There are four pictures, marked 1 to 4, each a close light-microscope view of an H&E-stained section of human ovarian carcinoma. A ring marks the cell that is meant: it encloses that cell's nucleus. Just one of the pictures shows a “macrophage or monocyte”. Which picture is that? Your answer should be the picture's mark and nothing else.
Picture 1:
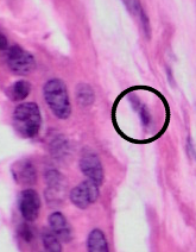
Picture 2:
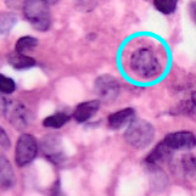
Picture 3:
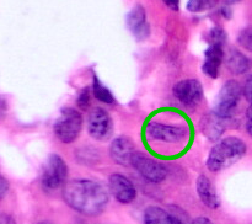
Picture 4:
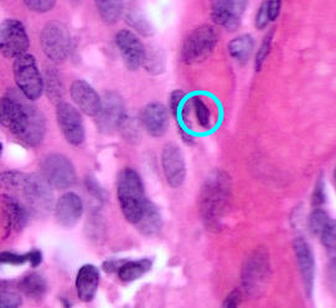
2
